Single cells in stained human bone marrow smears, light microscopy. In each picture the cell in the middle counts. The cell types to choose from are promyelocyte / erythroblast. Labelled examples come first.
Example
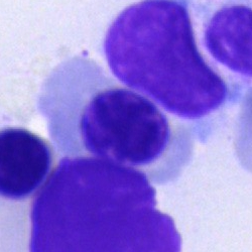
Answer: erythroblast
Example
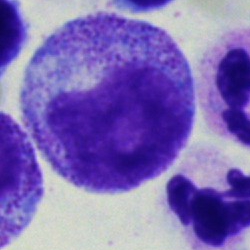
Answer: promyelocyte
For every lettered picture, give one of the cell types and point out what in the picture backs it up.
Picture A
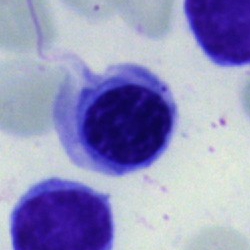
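Answer: erythroblast. The chromatin is dark purple and coarsely clumped.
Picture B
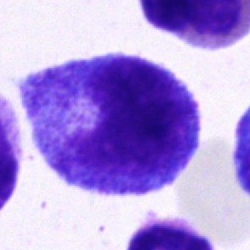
Answer: promyelocyte. The chromatin looks finely stippled rather than coarsely clumped.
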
